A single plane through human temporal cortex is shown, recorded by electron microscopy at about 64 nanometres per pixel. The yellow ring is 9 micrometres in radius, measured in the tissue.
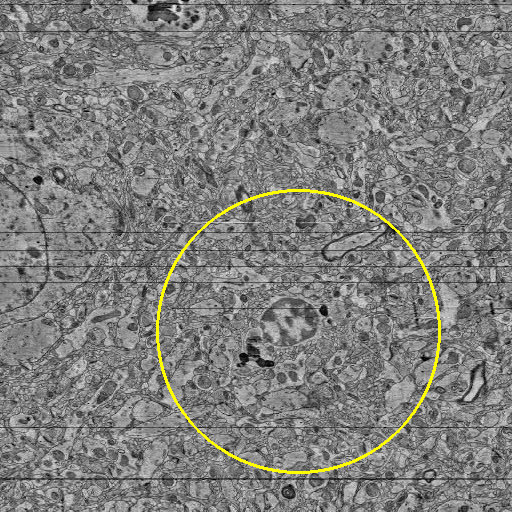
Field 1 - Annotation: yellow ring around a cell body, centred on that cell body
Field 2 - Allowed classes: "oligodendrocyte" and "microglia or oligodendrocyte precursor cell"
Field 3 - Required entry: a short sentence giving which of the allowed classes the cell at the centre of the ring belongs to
The centred cell is a microglial cell or oligodendrocyte precursor cell.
